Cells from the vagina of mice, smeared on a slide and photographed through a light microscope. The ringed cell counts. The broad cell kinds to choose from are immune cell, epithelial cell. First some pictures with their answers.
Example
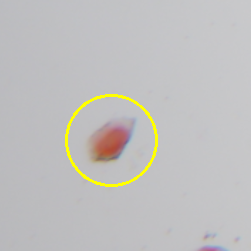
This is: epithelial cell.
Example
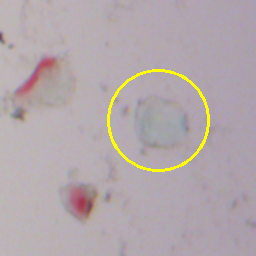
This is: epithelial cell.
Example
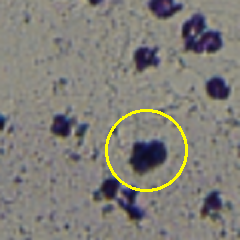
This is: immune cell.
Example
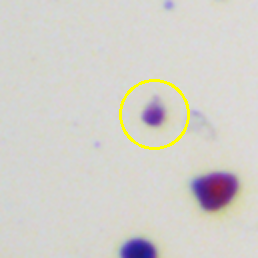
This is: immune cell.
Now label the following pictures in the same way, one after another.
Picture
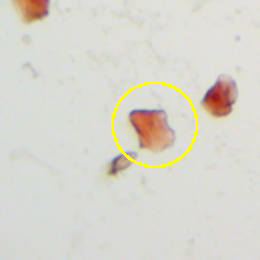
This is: epithelial cell.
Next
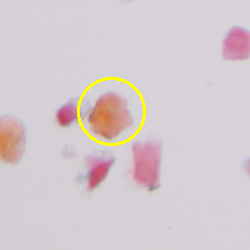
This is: epithelial cell.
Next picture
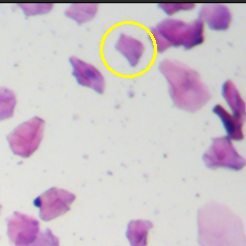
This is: epithelial cell.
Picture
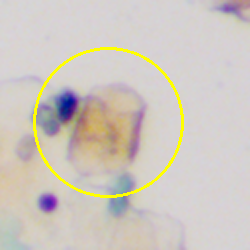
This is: epithelial cell.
